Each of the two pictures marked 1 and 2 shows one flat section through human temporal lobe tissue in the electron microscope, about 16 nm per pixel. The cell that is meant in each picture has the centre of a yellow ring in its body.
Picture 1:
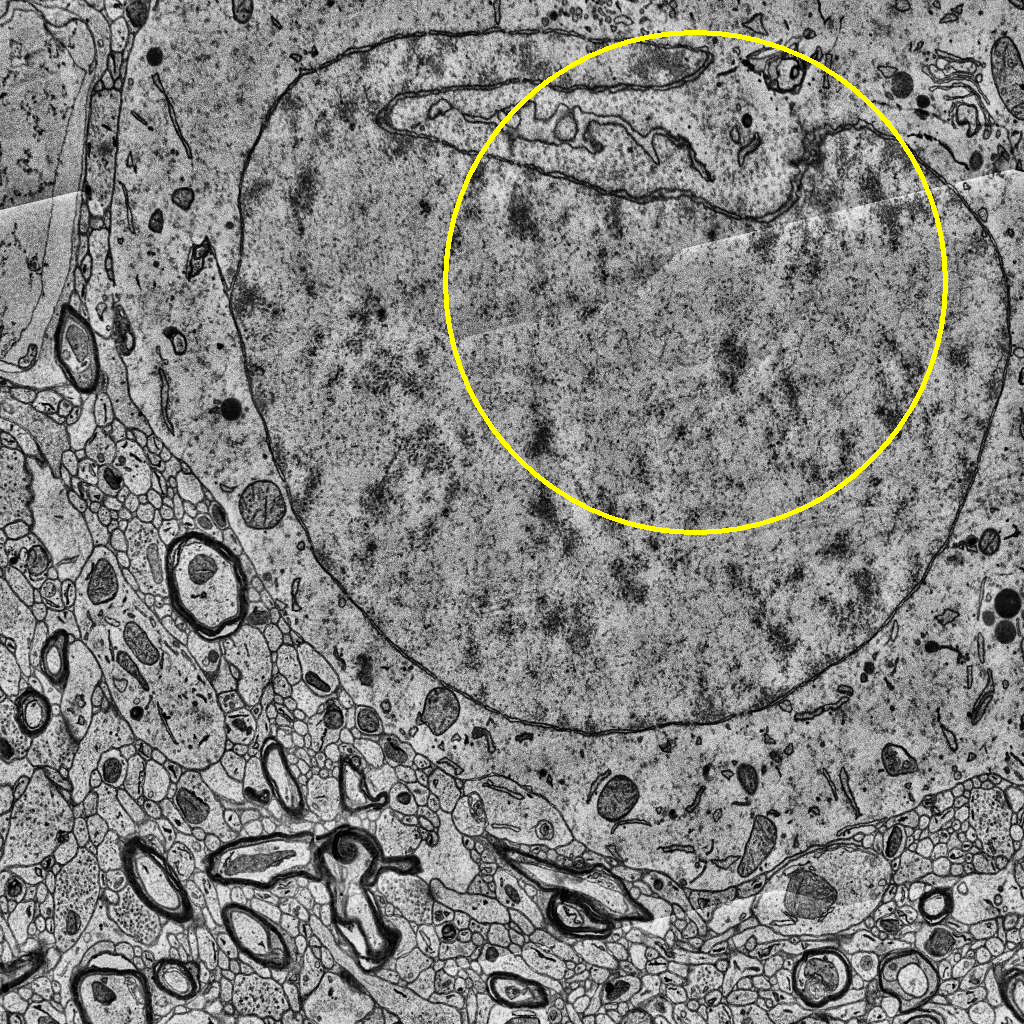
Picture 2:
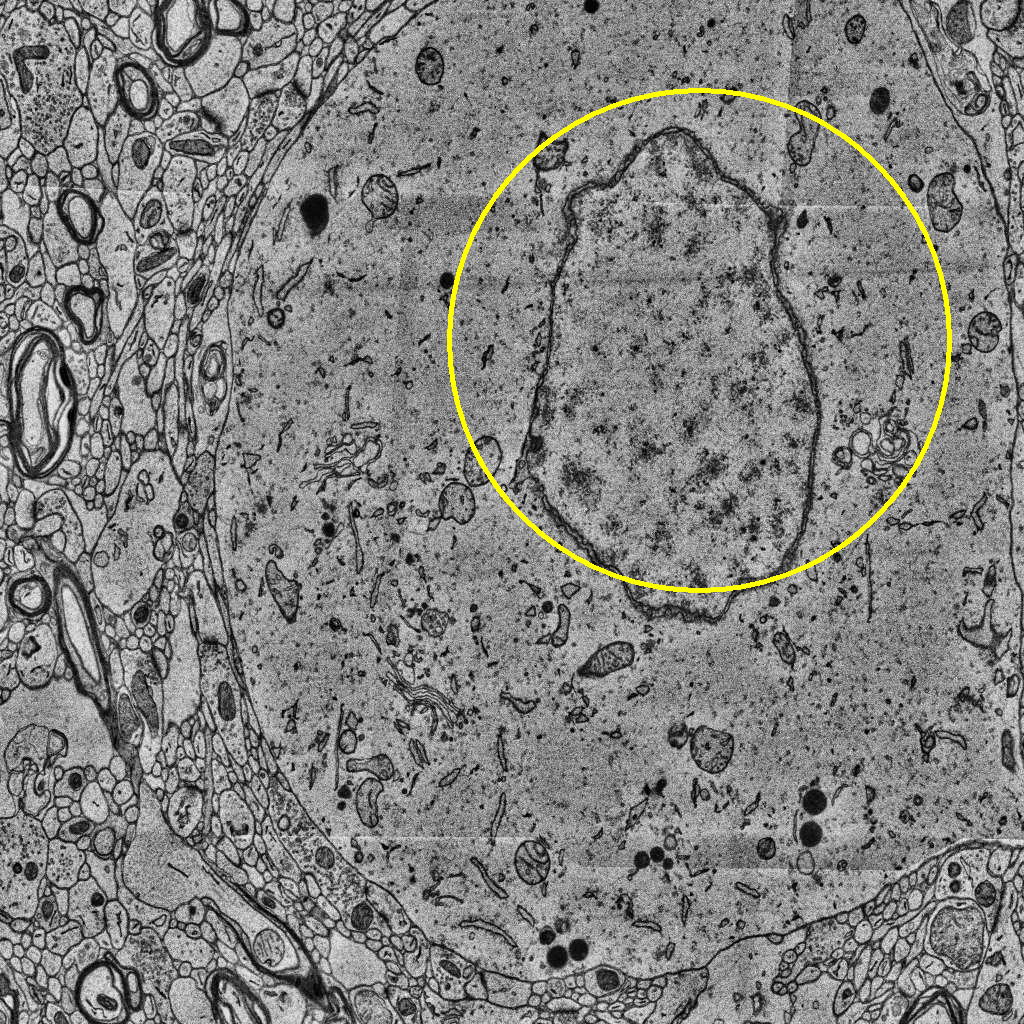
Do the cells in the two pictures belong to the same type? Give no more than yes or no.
yes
